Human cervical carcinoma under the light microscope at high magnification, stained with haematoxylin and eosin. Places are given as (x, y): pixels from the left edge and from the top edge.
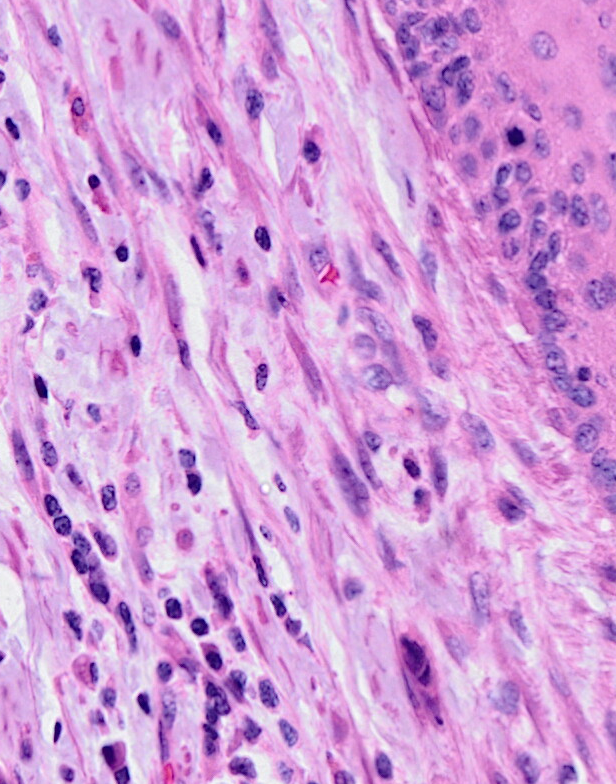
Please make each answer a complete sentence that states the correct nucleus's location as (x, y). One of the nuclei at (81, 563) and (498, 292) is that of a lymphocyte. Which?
The nucleus at (81, 563), rather than the other one, belongs to a lymphocyte.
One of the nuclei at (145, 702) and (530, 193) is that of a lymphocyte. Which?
The nucleus at (145, 702) is assigned to a lymphocyte.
